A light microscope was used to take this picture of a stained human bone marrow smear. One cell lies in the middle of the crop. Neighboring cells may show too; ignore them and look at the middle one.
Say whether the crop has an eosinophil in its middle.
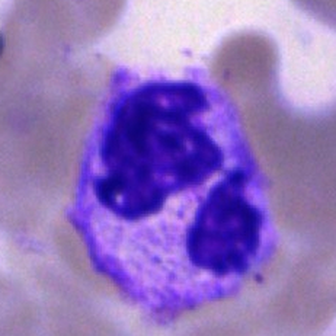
no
